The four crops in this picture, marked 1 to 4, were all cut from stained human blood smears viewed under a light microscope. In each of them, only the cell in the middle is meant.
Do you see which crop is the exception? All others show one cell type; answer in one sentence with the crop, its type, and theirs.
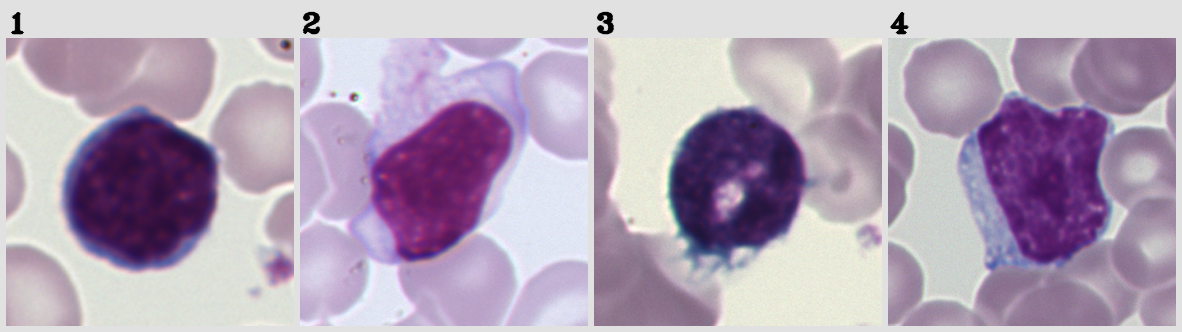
The odd one out is crop 2, a large granular lymphocyte, and all other crops show typical lymphocytes.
